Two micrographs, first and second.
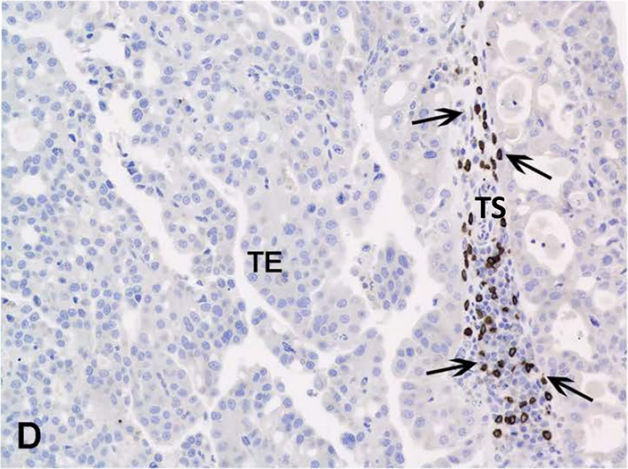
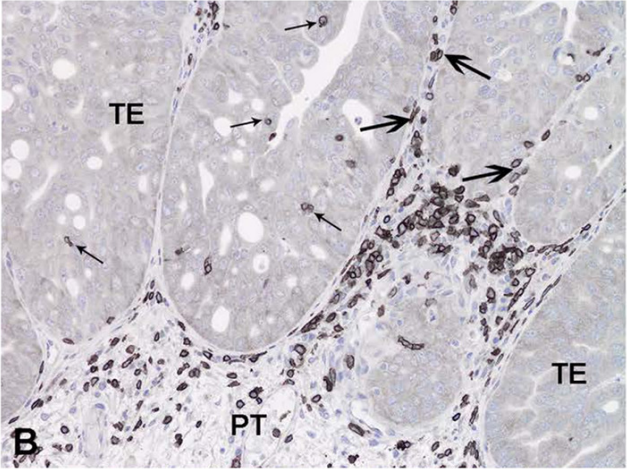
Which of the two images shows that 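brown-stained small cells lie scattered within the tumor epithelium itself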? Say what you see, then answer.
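The second image. First image: the epithelial islands contain no brown-stained cells; stained cells stay in the stromal band. Second image: single brown-stained small cells are dotted among the epithelial cells of the nests.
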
